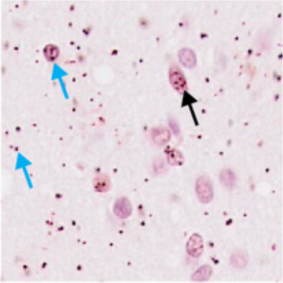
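Numerous small dark brown-black dots are scattered across the neuropil, and several cluster over neuronal nuclei and cell bodies. Neurons have round to oval nuclei with scant pale cytoplasm, while some small dense nuclei lie between them.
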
